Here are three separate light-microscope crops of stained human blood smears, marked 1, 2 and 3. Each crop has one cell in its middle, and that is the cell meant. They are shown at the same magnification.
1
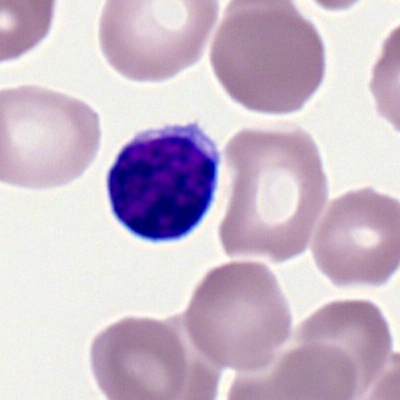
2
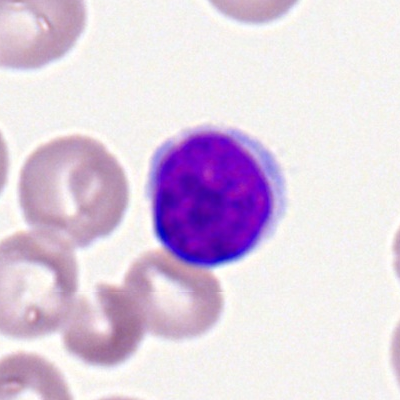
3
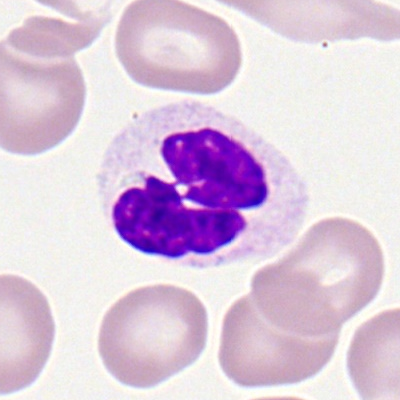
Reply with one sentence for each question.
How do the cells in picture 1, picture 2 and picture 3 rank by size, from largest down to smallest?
The order is 3, 2, 1, beginning with the largest.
